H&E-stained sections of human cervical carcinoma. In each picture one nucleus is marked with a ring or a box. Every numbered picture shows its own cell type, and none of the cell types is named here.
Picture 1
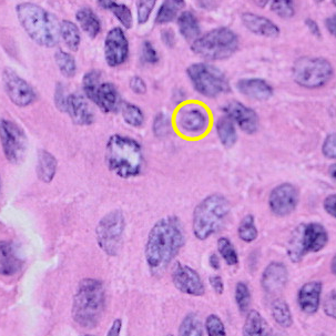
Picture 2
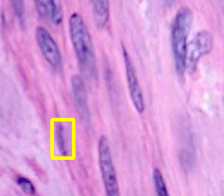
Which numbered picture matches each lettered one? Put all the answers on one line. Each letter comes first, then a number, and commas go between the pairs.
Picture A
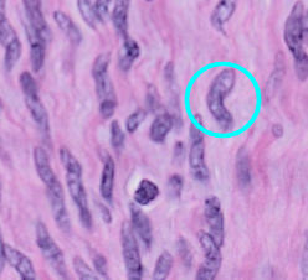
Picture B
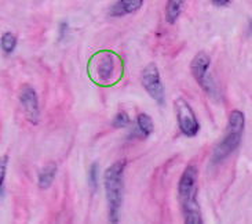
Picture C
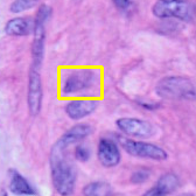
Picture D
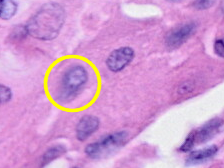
A 2, B 2, C 2, D 1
